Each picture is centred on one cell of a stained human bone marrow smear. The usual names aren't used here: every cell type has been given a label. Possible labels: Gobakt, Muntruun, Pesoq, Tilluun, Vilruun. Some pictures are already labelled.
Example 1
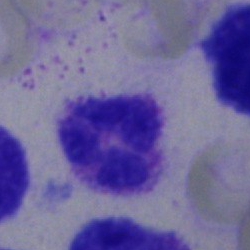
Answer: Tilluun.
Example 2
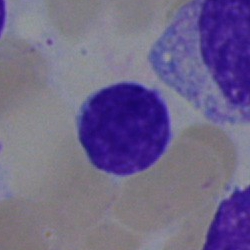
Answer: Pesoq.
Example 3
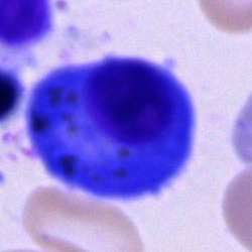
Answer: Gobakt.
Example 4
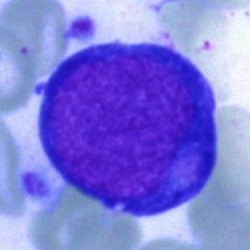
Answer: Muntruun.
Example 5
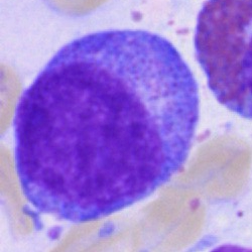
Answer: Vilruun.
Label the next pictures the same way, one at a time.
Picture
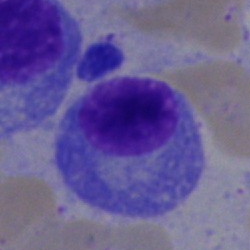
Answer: Gobakt.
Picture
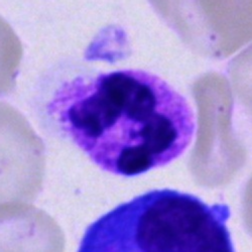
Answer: Tilluun.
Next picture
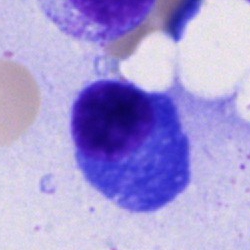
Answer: Gobakt.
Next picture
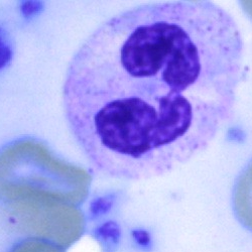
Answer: Tilluun.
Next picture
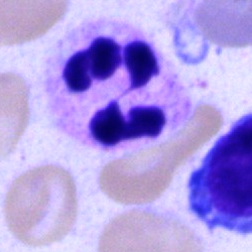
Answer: Tilluun.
